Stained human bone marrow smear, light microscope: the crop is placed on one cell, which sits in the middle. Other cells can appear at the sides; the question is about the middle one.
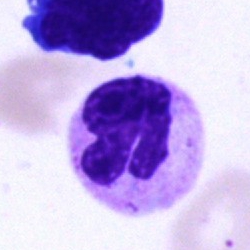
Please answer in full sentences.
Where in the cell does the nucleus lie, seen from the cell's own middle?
Seen from the middle of the cell, the nucleus lies toward the upper left.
